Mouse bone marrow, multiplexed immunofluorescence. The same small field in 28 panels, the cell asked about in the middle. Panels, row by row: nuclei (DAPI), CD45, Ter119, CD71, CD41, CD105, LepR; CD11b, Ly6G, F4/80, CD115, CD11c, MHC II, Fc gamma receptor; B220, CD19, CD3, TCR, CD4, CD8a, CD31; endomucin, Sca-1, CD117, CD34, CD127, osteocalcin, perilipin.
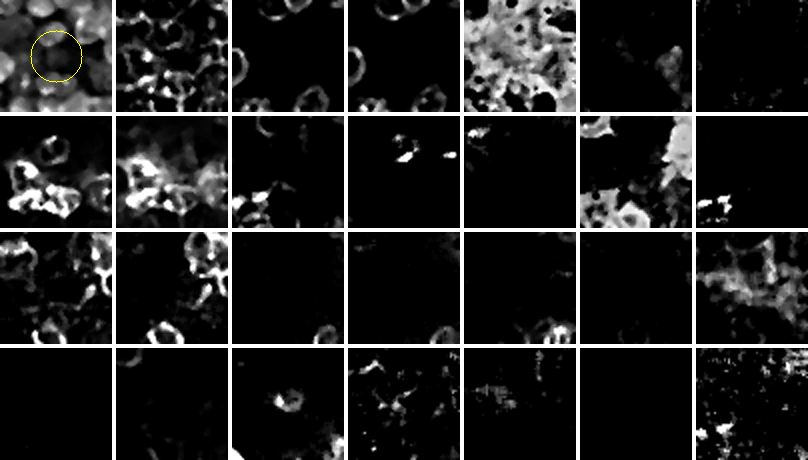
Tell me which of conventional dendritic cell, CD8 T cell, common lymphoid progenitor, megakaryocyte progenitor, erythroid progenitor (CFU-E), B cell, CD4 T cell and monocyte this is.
The picture shows a megakaryocyte progenitor.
